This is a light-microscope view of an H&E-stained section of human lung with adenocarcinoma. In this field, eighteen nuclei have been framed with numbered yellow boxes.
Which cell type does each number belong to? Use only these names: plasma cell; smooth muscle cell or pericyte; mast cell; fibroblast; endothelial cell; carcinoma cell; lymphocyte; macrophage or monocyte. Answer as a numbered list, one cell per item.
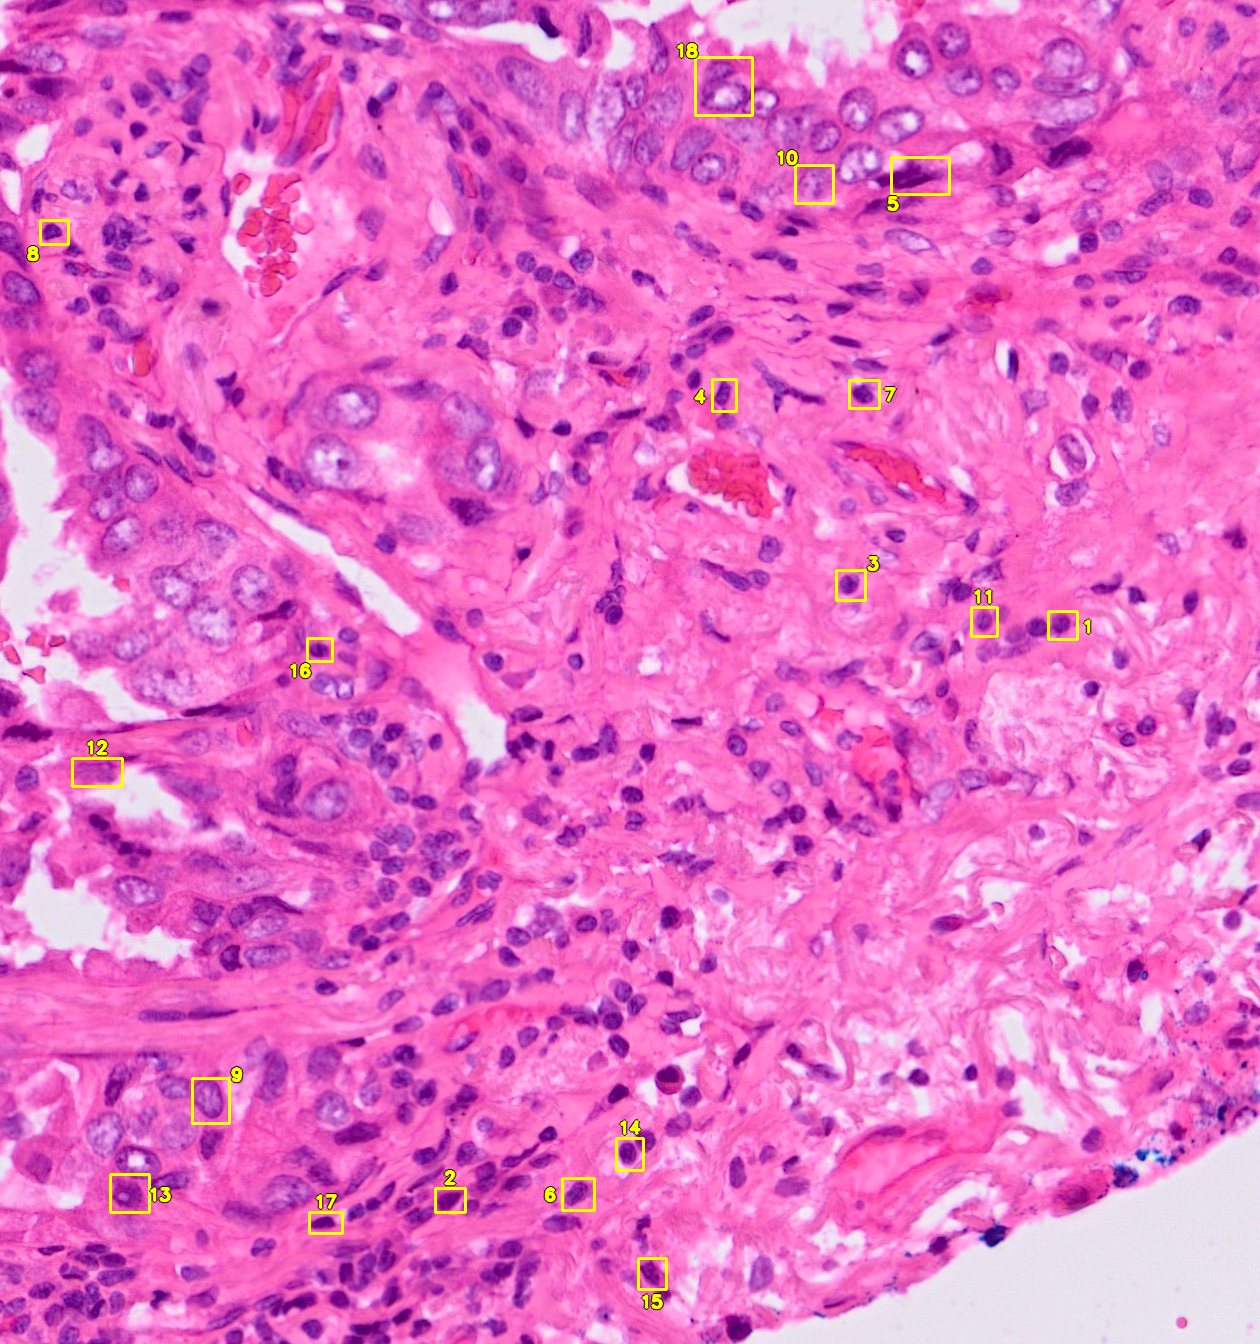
1. lymphocyte
2. plasma cell
3. lymphocyte
4. lymphocyte
5. carcinoma cell
6. lymphocyte
7. lymphocyte
8. lymphocyte
9. carcinoma cell
10. carcinoma cell
11. lymphocyte
12. carcinoma cell
13. carcinoma cell
14. lymphocyte
15. plasma cell
16. lymphocyte
17. lymphocyte
18. carcinoma cell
